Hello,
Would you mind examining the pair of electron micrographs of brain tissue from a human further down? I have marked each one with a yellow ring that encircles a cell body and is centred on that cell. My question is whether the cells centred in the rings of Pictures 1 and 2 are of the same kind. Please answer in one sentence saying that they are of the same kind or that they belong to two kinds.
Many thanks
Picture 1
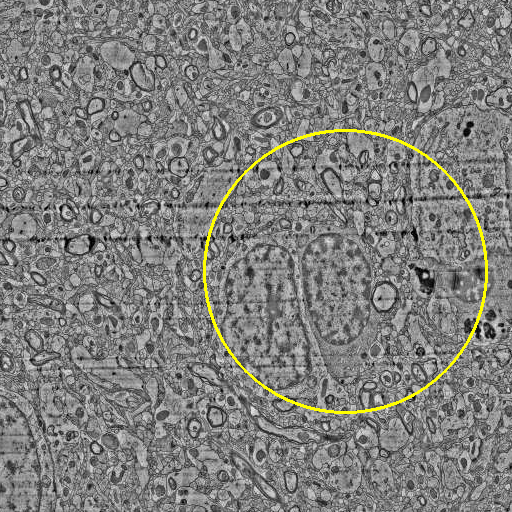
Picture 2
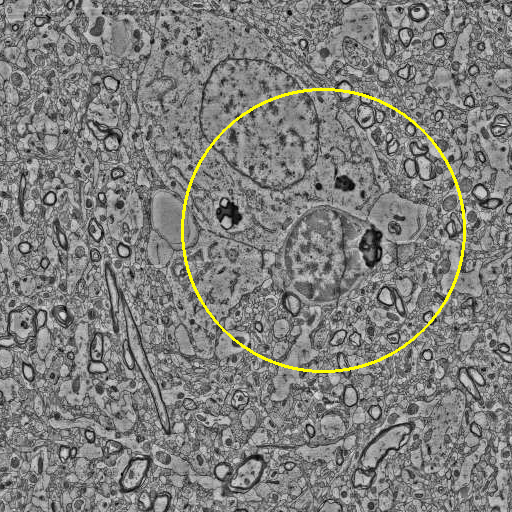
In Pictures 1 and 2, the cells at the heart of the rings are of the same kind.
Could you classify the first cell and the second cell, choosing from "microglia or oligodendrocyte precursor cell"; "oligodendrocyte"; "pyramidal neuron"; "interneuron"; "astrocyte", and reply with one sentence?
Each cell, in the first picture and the second, is an oligodendrocyte.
